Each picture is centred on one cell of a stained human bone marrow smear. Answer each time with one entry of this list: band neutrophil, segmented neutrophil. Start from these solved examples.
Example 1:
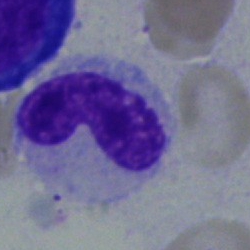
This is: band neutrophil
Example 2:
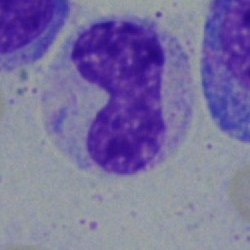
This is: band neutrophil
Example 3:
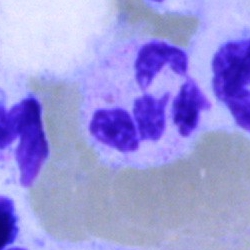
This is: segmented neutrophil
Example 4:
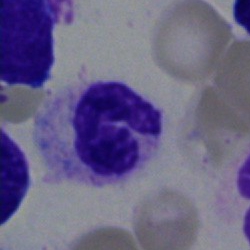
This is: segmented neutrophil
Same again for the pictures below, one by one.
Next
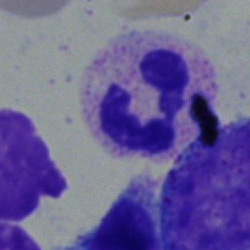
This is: segmented neutrophil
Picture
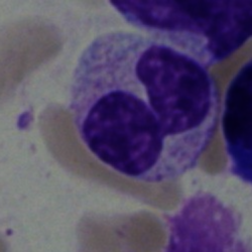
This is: segmented neutrophil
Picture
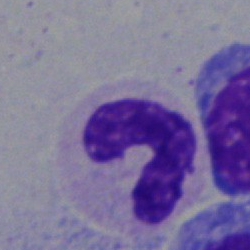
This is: band neutrophil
